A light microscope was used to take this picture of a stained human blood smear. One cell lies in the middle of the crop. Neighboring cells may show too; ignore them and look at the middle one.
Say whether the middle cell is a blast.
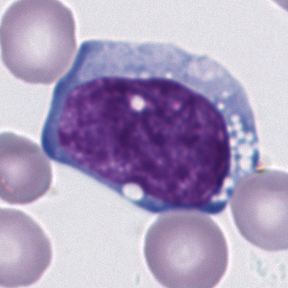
yes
